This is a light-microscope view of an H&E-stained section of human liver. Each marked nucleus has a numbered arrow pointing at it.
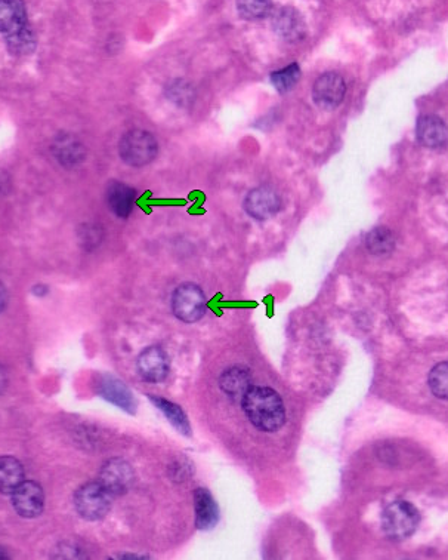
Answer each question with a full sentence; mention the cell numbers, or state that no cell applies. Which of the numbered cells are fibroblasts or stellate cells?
The numbered cell that is a fibroblast or stellate cell is cell 2, and it is the only one.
